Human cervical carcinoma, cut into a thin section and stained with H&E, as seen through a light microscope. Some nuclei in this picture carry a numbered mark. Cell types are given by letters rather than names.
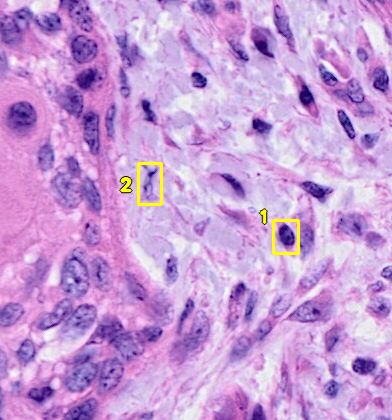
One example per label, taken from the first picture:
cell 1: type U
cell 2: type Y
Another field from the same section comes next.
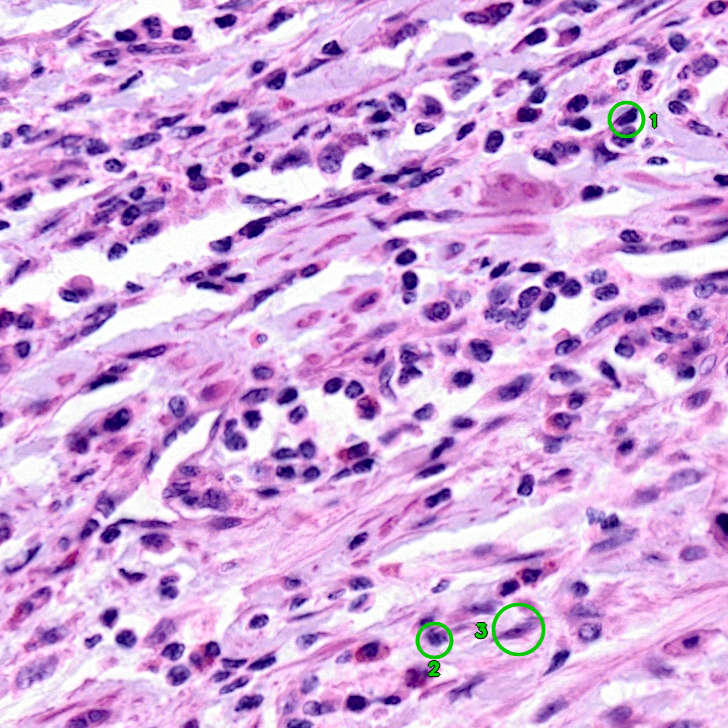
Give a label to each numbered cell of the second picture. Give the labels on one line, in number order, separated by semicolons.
type U; type U; type Y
